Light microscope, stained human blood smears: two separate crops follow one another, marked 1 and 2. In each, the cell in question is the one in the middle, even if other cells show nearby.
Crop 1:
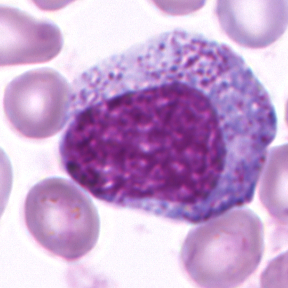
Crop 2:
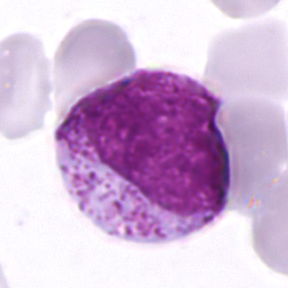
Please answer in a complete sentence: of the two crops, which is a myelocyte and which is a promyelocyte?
Crop 2 contains a myelocyte, whereas crop 1 contains a promyelocyte.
